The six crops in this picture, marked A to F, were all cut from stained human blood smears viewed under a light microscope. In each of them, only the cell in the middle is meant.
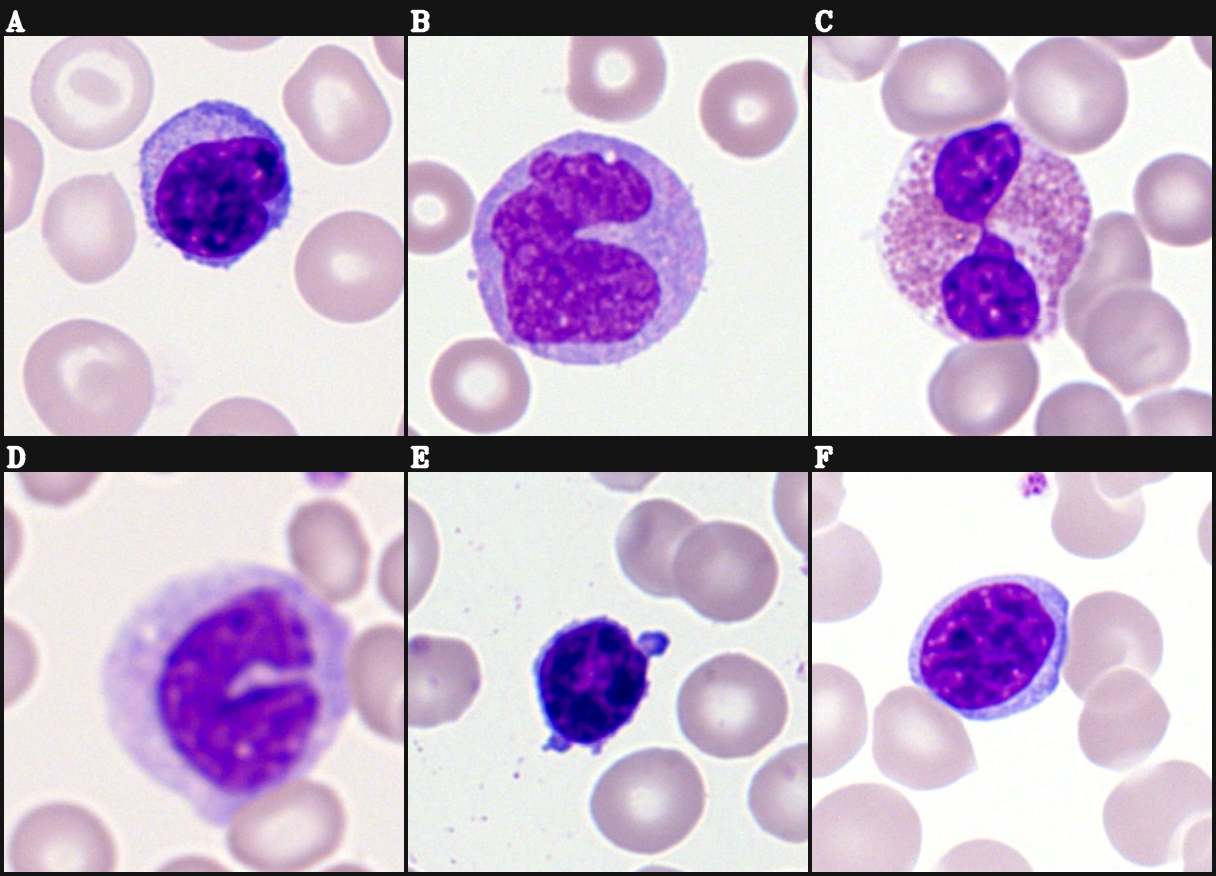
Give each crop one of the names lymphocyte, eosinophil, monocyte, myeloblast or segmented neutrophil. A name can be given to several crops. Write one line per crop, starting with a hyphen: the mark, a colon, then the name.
- A: lymphocyte
- B: monocyte
- C: eosinophil
- D: monocyte
- E: lymphocyte
- F: lymphocyte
